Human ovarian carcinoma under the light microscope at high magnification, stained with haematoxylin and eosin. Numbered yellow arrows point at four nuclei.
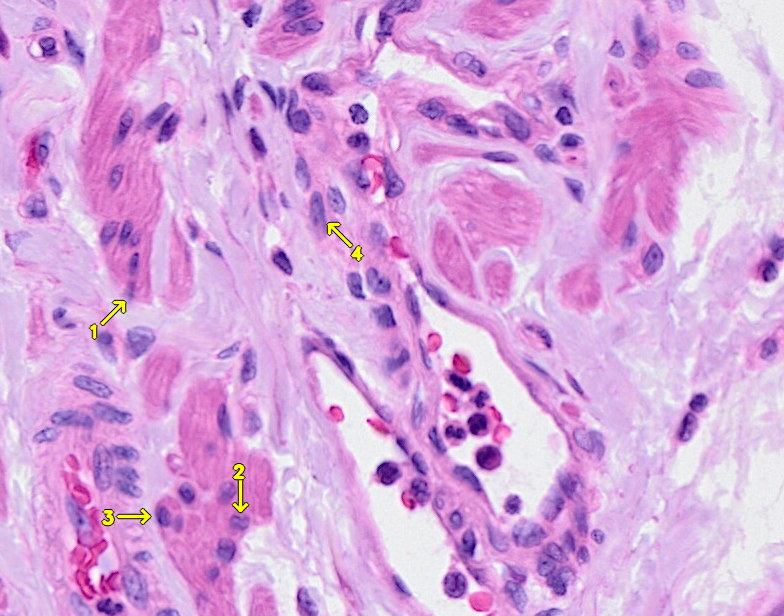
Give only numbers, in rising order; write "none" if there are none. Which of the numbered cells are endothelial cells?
4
